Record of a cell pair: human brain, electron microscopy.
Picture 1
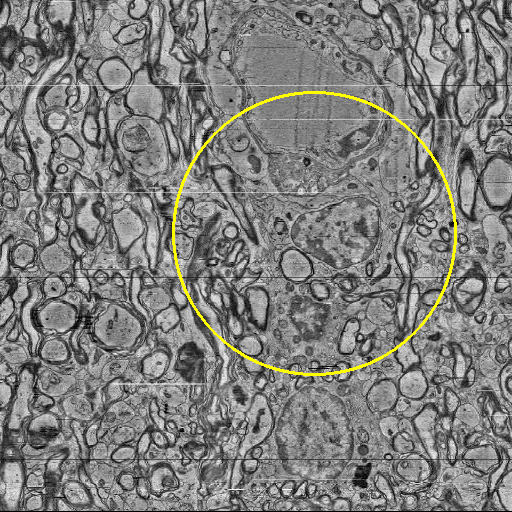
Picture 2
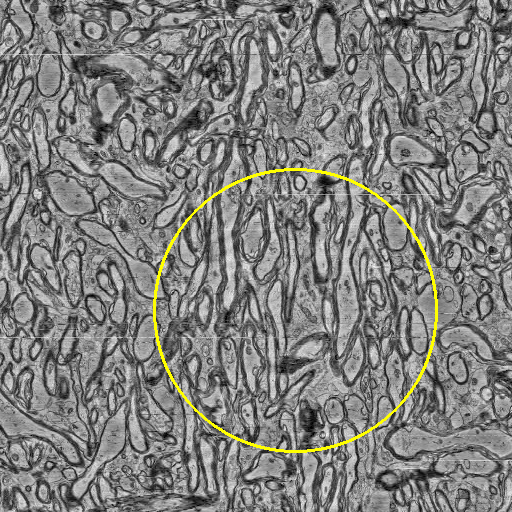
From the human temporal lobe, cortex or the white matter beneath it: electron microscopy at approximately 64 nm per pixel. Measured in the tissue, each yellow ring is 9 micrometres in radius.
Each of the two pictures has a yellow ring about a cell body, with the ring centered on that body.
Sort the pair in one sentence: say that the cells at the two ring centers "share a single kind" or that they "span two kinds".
The cells centered in the rings of Pictures 1 and 2 share a single kind.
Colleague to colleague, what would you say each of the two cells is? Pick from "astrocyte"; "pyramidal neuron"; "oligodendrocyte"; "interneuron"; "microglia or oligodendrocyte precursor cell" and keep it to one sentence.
Each cell, in the first picture and the second, is a microglial cell or oligodendrocyte precursor cell.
